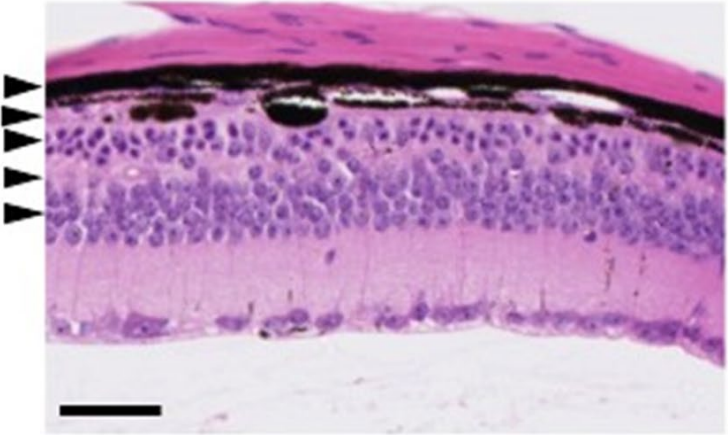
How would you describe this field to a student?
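This retina has a markedly thinned outer retina. Beneath the black pigmented epithelium the photoreceptor band is almost lost, and rounded black clumps of pigment lie displaced into it. The outer nuclear layer is reduced to a few irregular rows of nuclei above the inner nuclear layer, which is followed by a pink fibrillar layer and a row of cells along the bottom.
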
